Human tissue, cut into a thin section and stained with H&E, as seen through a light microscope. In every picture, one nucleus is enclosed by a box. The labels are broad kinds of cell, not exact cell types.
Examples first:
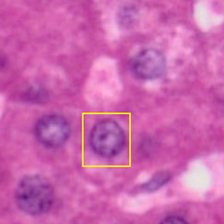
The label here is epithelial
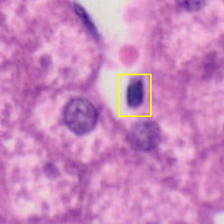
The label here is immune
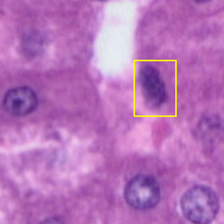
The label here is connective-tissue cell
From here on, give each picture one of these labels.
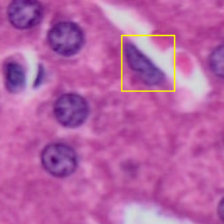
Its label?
immune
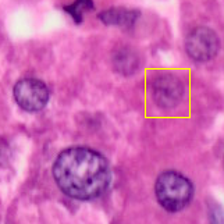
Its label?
epithelial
